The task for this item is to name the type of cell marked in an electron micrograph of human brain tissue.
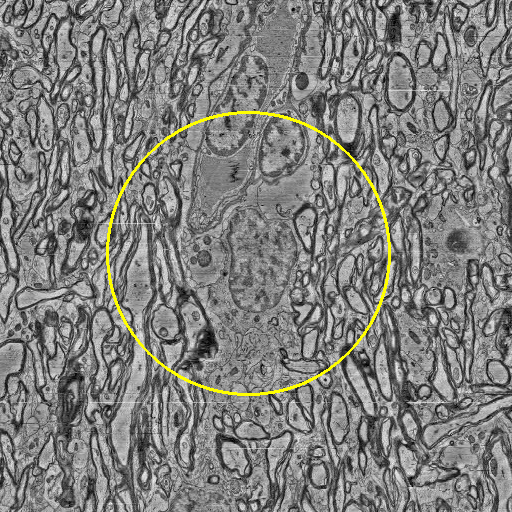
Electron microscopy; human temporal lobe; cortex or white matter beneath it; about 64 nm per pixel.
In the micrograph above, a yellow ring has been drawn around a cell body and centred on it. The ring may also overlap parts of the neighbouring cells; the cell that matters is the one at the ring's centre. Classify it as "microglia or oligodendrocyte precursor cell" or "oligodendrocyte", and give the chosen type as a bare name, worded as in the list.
oligodendrocyte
